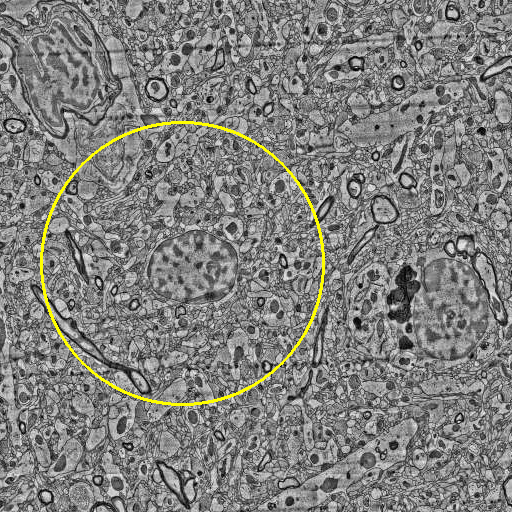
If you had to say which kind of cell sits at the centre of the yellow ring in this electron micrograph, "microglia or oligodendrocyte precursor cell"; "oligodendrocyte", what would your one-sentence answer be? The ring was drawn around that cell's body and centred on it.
The cell sitting at the centre of the ring is a microglial cell or oligodendrocyte precursor cell.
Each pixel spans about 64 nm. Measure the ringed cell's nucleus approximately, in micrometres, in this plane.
In this plane, roughly 6 by 5 micrometres.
